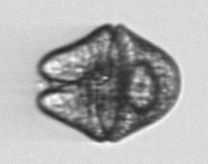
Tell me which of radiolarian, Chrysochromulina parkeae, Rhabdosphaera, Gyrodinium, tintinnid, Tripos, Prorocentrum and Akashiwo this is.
The picture shows Akashiwo.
